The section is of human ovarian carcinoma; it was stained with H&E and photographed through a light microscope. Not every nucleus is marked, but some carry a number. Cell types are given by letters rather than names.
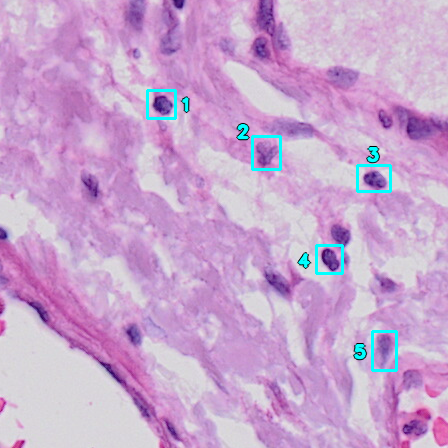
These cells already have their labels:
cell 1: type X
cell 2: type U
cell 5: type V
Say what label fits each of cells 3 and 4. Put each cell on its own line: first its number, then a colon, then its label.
3: type X
4: type X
